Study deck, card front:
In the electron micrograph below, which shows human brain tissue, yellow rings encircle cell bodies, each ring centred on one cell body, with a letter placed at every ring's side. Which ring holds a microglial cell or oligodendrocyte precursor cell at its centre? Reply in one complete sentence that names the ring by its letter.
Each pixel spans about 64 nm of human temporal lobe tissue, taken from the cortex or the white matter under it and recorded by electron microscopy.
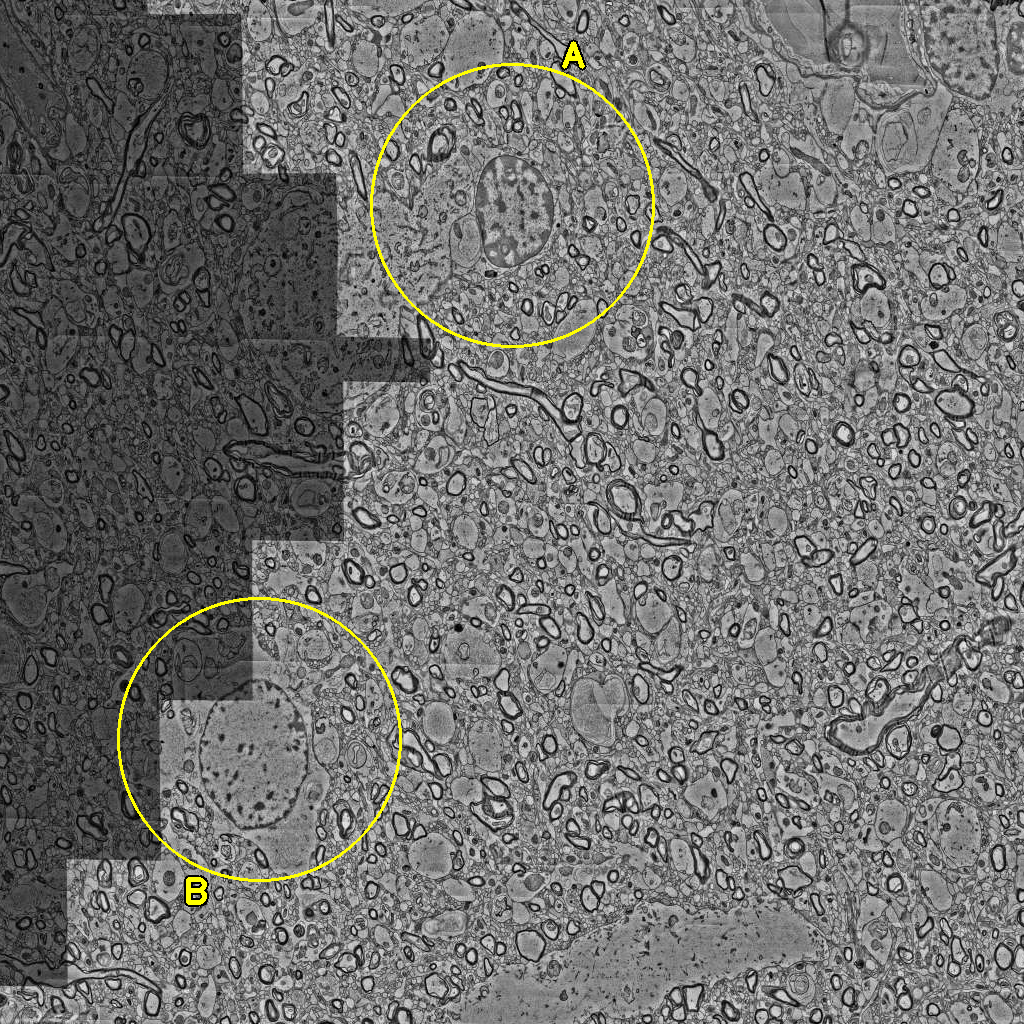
The cell asked for sits at the centre of ring A in the picture.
